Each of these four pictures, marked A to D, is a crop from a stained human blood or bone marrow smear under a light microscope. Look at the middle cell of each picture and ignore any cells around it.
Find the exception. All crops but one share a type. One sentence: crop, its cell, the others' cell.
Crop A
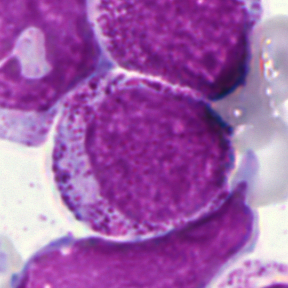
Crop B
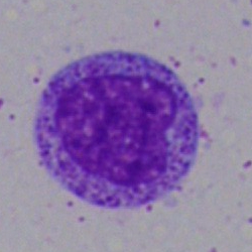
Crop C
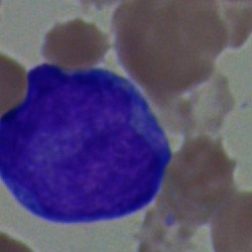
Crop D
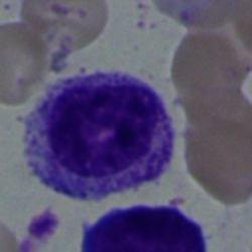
Crop C differs from the others in showing a blast; the rest all show myelocytes.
